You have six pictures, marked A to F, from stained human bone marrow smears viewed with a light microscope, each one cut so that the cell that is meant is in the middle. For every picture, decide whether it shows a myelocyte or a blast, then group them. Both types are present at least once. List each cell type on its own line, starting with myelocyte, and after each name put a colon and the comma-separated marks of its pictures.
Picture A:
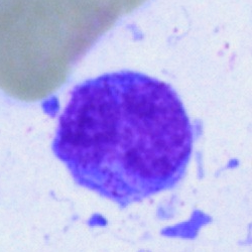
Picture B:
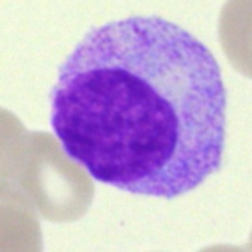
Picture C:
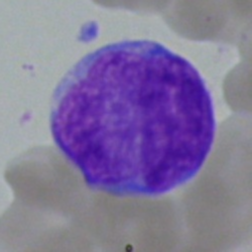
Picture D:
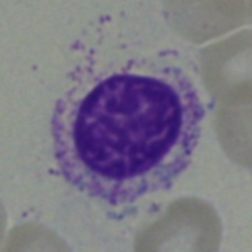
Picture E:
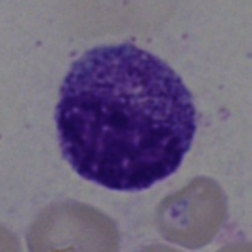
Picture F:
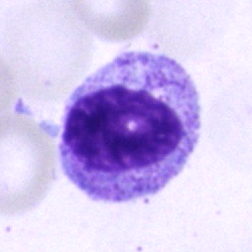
myelocyte: B, D, E, F
blast: A, C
